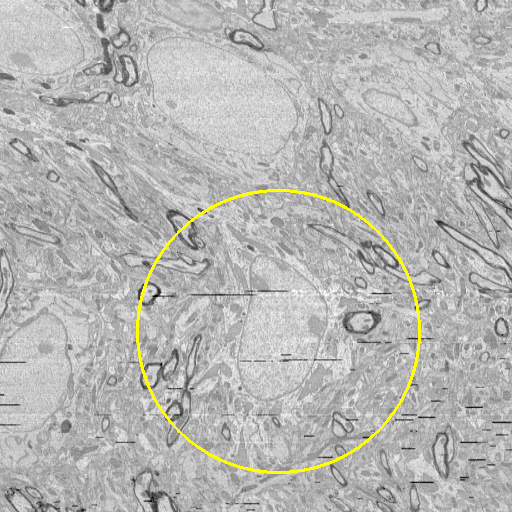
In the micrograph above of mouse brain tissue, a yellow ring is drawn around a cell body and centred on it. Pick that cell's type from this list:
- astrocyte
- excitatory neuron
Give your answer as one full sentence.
Going by the list, an astrocyte is the cell on which the yellow ring is centred.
